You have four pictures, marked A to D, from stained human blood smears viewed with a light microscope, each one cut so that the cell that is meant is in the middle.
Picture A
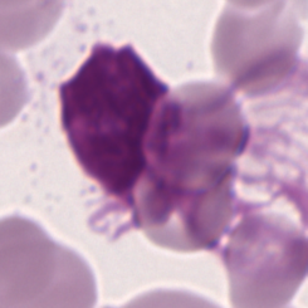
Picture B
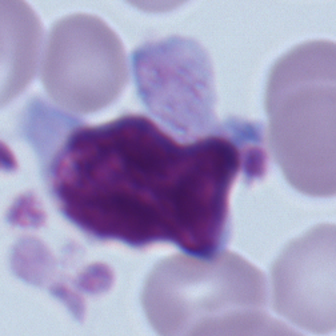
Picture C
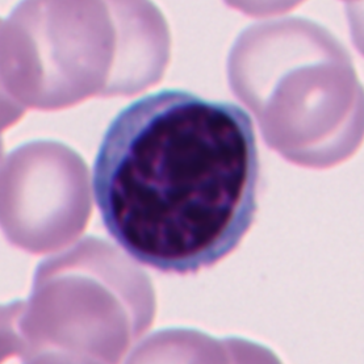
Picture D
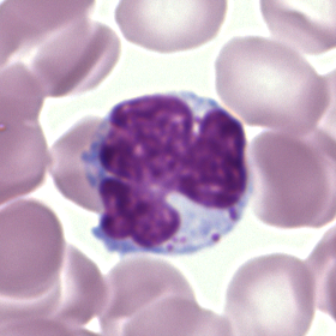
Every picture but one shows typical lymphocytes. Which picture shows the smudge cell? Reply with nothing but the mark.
A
